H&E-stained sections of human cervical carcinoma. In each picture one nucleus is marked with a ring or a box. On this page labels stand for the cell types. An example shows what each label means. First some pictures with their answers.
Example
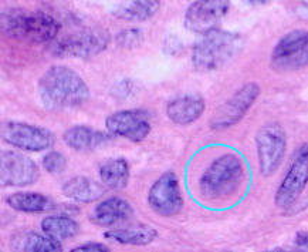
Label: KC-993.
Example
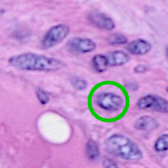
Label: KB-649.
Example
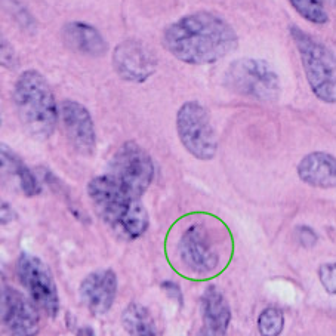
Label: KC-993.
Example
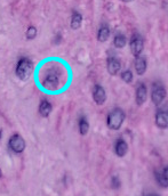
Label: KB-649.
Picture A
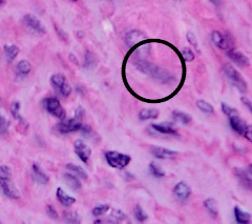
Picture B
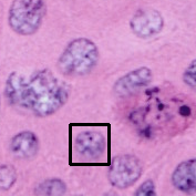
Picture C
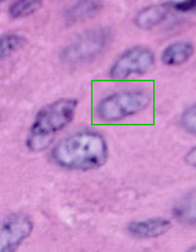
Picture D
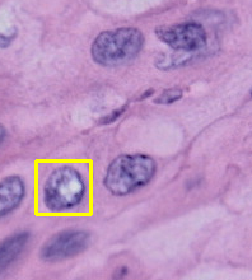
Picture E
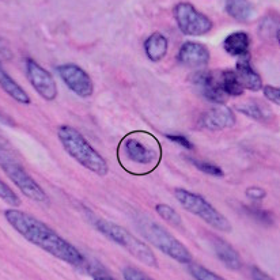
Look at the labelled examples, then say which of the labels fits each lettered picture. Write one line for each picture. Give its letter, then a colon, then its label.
A: KB-649.
B: KC-993.
C: KC-993.
D: KC-993.
E: KB-649.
